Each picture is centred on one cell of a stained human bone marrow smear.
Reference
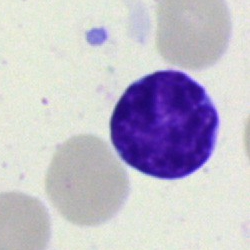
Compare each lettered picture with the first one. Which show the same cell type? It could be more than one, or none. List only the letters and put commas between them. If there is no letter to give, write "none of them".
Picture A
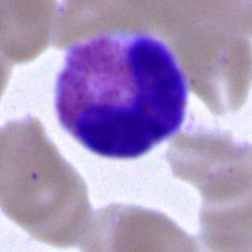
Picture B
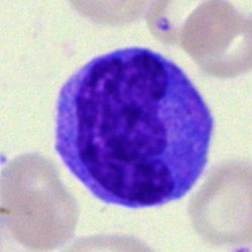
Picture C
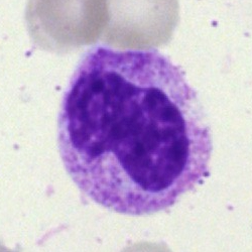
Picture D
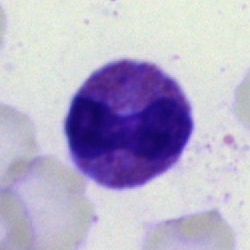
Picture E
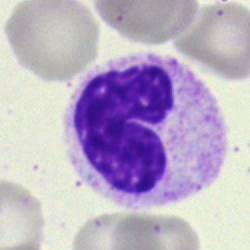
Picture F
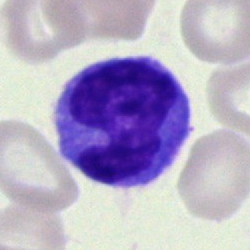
none of them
